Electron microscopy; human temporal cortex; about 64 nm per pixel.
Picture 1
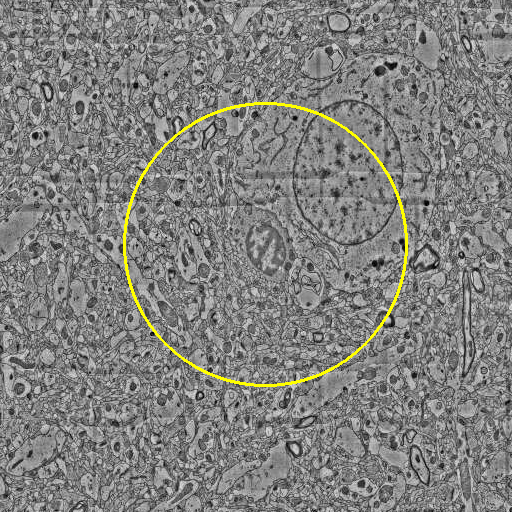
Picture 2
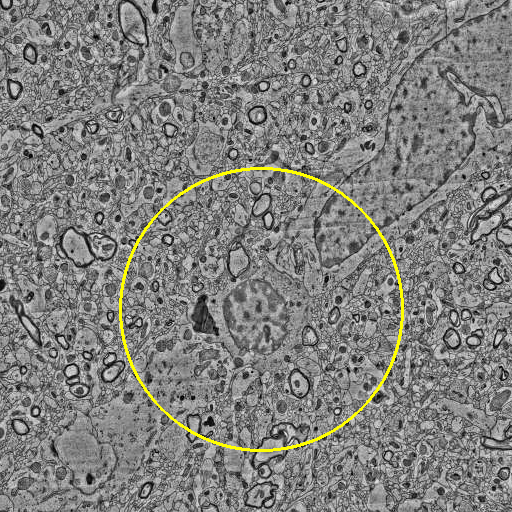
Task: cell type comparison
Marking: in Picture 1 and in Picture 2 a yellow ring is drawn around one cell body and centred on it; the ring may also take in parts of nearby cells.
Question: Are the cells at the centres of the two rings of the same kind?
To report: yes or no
yes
